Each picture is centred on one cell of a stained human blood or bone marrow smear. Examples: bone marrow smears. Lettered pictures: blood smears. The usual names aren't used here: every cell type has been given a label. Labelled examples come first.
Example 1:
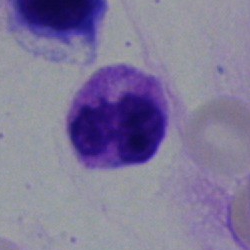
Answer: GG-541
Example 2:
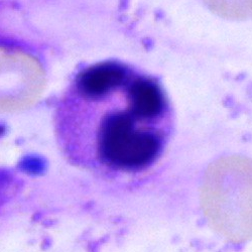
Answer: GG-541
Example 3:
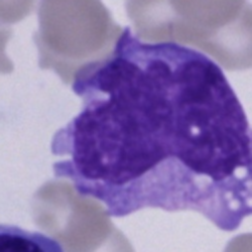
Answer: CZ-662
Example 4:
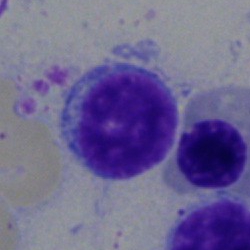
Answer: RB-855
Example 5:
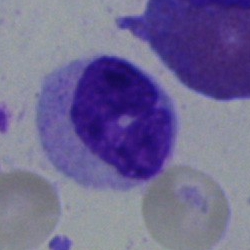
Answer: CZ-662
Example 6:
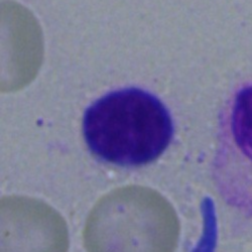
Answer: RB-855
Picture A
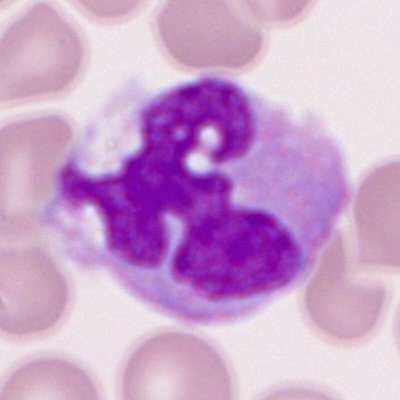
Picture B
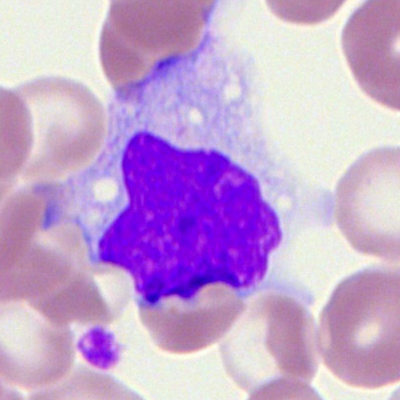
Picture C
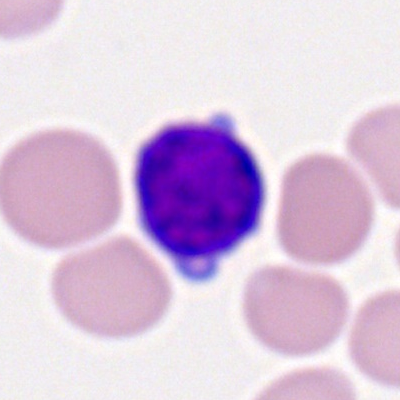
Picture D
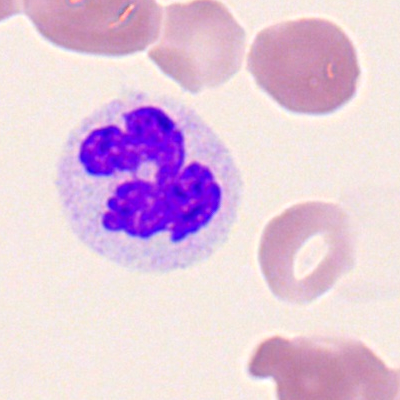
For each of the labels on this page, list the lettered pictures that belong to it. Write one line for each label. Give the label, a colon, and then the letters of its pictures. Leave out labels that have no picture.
GG-541: D
CZ-662: A, B
RB-855: C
